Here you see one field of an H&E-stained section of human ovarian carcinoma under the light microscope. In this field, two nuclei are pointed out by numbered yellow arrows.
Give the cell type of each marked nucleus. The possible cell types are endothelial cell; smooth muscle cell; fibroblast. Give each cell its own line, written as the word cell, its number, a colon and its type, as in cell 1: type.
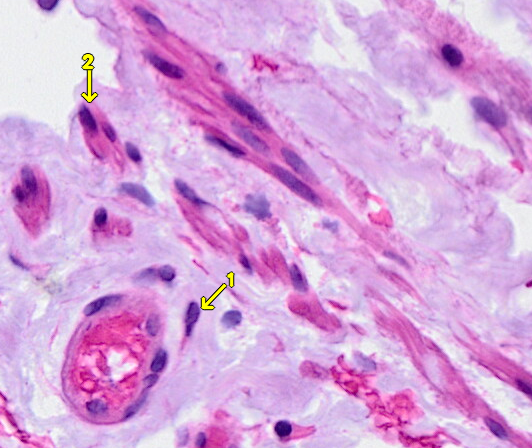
cell 1: fibroblast
cell 2: smooth muscle cell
